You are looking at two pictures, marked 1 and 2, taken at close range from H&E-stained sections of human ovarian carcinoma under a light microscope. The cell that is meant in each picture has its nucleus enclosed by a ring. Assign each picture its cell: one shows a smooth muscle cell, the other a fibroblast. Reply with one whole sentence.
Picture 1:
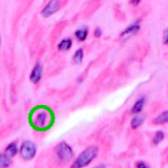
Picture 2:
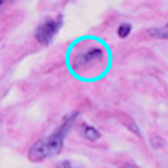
Picture 1 is of a smooth muscle cell, and picture 2 is of a fibroblast.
